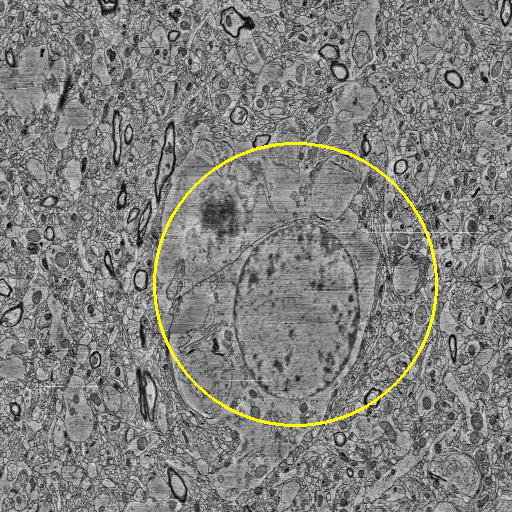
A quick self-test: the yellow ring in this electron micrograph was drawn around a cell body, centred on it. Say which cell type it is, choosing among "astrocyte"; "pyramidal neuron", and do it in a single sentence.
The yellow-ringed cell is an astrocyte.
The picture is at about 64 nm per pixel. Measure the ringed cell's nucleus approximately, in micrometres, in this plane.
About 11 micrometres by about 8 micrometres in this plane.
